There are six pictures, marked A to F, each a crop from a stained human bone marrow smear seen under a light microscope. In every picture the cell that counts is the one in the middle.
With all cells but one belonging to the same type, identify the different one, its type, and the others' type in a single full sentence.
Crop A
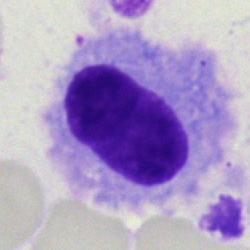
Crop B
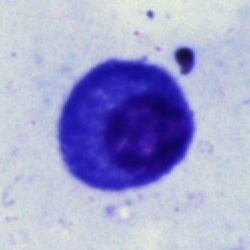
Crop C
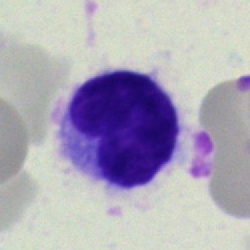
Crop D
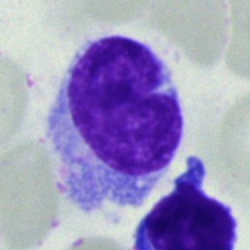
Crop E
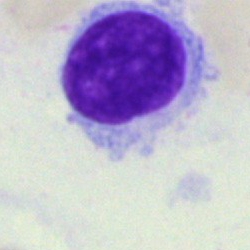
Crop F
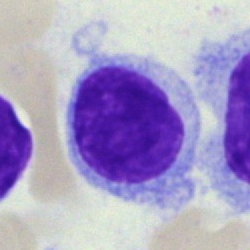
Unlike the rest, which all show hairy cells, crop B contains a plasma cell.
